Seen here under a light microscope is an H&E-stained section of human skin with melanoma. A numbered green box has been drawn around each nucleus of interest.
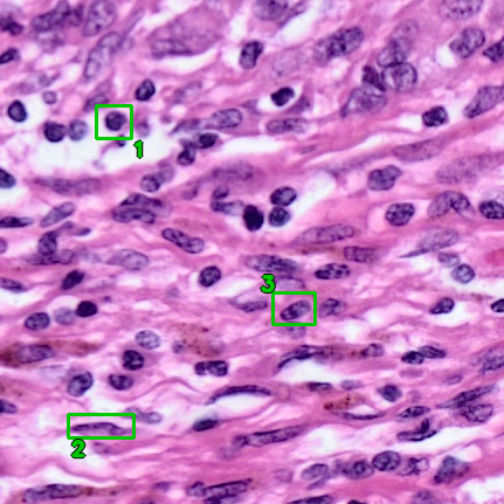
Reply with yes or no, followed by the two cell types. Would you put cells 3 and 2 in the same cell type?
No, cell 3 is a lymphocyte and cell 2 is a fibroblast or myofibroblast.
